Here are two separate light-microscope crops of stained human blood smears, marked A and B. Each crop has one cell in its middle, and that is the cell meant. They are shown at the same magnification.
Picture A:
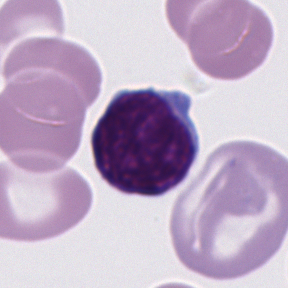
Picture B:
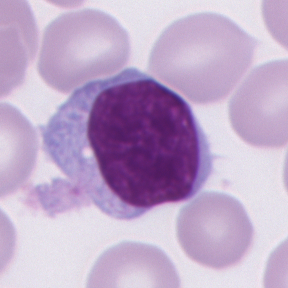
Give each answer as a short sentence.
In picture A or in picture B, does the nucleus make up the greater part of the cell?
The nucleus fills more of the cell in picture A than in picture B.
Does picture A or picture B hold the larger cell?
Picture B holds the larger cell; it covers about 2 times the area of the cell in picture A.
